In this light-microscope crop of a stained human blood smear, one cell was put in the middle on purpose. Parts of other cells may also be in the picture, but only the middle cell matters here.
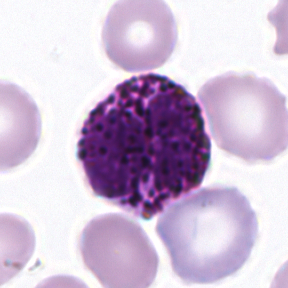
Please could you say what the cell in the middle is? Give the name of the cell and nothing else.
basophil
